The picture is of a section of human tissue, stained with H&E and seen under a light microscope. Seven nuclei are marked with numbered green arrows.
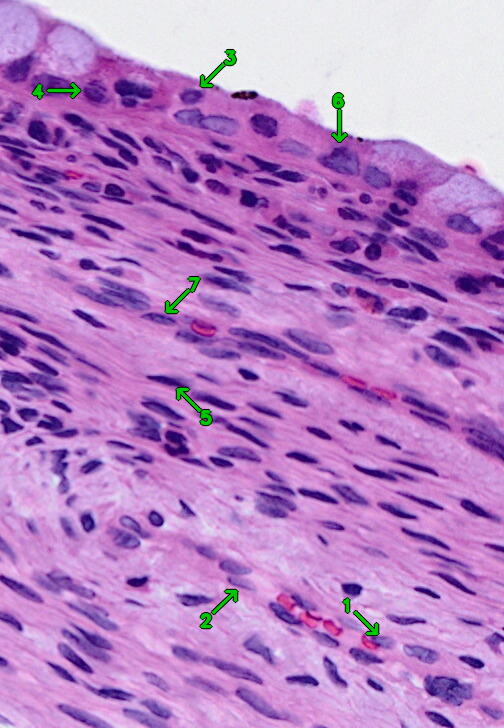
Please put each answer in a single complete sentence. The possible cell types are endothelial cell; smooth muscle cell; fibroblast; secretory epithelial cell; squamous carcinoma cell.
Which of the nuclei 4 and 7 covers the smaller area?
Number 7 is smaller, since number 4 takes up about 2 times as much area.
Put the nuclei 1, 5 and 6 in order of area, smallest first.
By area, going up from the smallest, they rank 1, 5, 6.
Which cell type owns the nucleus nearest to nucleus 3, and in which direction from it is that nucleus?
The nearest one is a secretory epithelial cell, found below nucleus 3.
